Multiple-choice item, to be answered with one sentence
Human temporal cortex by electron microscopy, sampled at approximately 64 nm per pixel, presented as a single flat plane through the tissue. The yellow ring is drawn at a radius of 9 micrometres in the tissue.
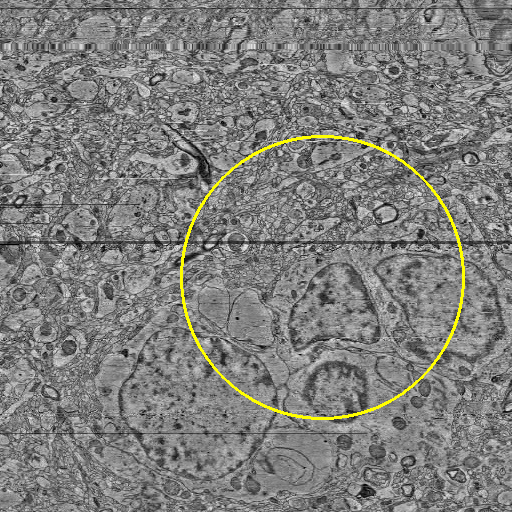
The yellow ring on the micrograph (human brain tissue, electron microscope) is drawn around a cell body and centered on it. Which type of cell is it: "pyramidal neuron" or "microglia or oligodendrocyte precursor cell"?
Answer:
The ring is centered on a microglial cell or oligodendrocyte precursor cell.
